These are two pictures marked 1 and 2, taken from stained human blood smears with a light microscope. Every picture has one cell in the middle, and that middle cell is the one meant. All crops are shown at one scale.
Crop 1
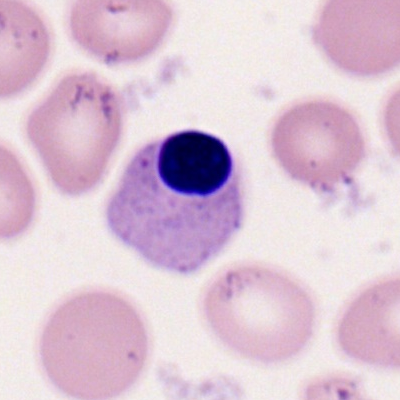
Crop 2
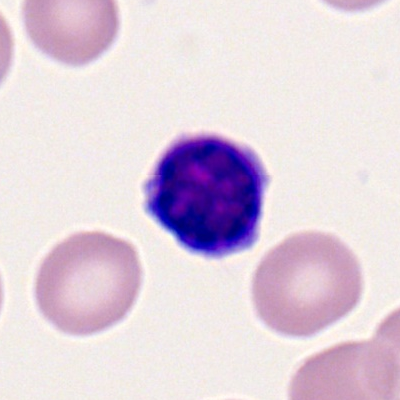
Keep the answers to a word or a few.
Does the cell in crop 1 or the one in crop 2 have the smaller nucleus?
1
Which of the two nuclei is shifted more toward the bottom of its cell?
2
